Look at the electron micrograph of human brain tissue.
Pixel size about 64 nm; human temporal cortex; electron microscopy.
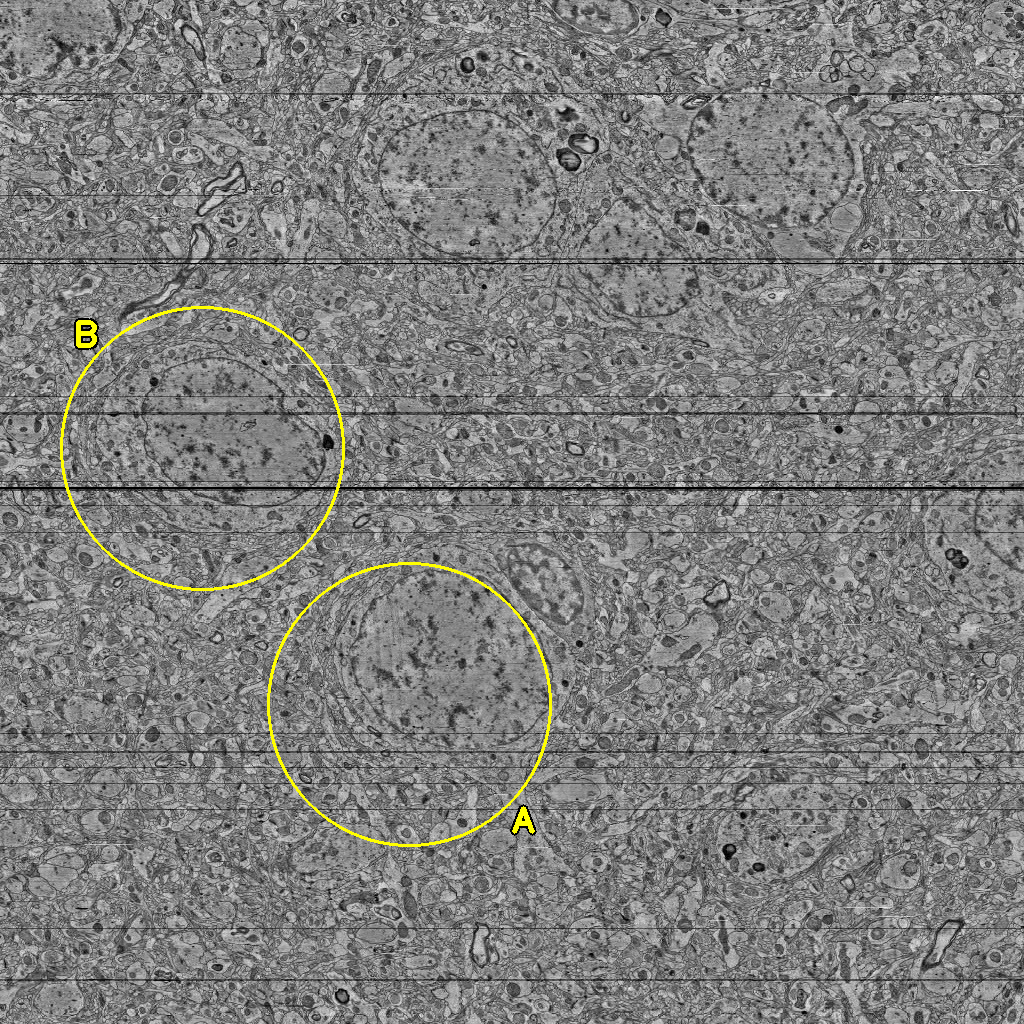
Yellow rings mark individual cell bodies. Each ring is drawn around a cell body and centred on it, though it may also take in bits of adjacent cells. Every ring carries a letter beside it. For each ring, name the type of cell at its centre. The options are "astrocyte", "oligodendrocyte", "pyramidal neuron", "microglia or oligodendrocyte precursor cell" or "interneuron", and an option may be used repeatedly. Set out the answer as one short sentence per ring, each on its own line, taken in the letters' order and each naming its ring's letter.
Ring A is drawn around a pyramidal neuron.
Ring B is drawn around a pyramidal neuron.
